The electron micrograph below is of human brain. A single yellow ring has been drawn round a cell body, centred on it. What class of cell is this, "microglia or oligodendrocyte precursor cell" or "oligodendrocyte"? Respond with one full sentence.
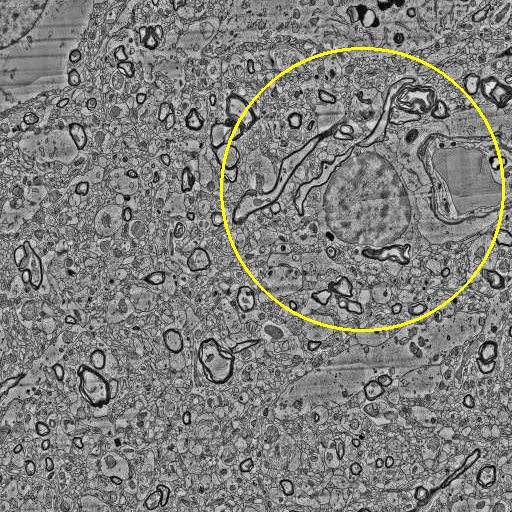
In the micrograph, the cell centred inside the yellow ring is an oligodendrocyte.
